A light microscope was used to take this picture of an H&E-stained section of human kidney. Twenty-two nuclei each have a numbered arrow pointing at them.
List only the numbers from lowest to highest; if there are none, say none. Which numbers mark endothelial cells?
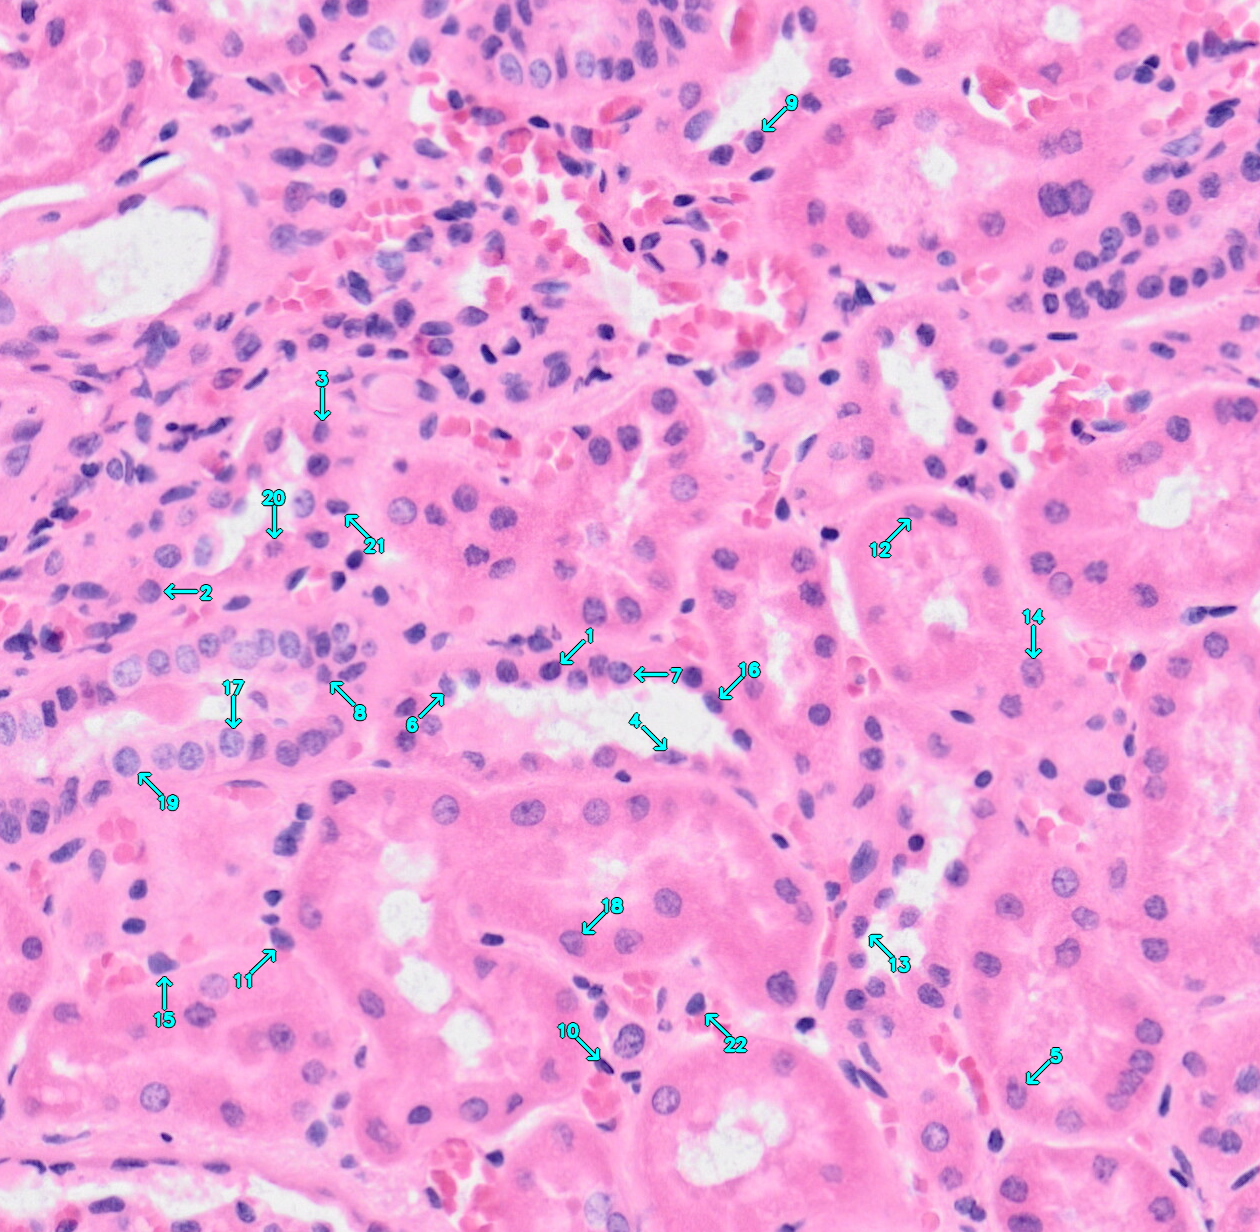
10, 11, 15, 22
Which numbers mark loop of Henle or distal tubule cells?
1, 2, 3, 4, 6, 7, 9, 13, 16, 20, 21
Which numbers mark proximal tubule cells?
5, 12, 14, 18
